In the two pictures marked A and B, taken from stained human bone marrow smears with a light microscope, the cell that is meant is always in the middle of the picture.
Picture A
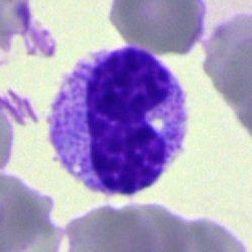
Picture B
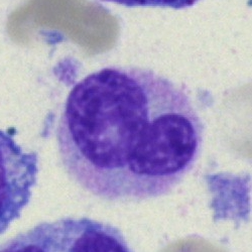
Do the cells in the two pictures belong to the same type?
no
